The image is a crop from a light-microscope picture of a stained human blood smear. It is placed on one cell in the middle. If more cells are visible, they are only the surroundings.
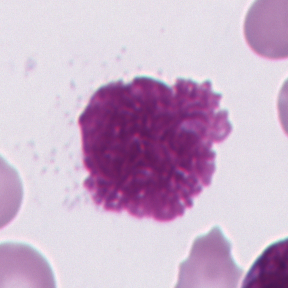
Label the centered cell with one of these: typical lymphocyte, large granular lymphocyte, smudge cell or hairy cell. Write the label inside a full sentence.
In the center of this field lies a smudge cell.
